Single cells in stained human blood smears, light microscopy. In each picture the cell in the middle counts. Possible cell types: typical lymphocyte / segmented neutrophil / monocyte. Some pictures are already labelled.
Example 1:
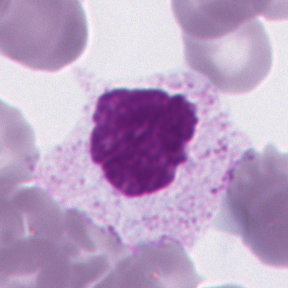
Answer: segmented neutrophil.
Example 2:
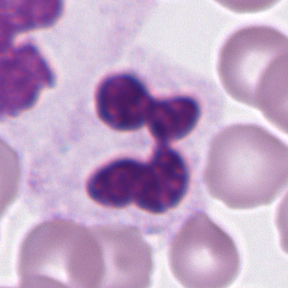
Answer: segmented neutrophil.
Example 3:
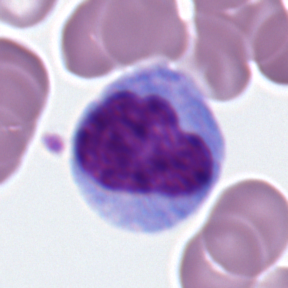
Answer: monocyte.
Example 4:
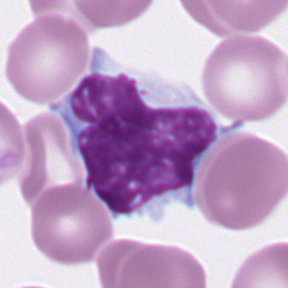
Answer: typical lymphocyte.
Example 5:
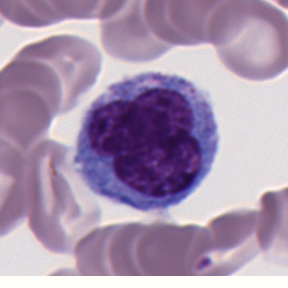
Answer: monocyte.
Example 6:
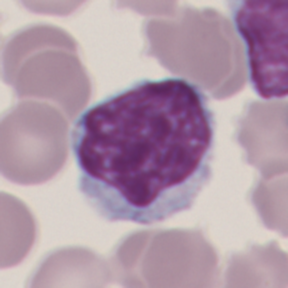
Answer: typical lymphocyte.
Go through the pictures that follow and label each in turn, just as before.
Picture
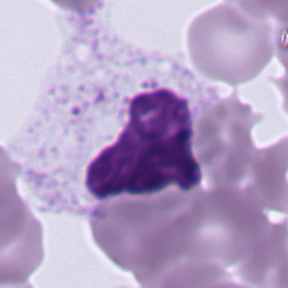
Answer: segmented neutrophil.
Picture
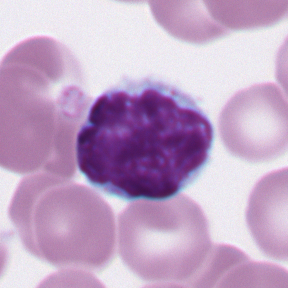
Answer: typical lymphocyte.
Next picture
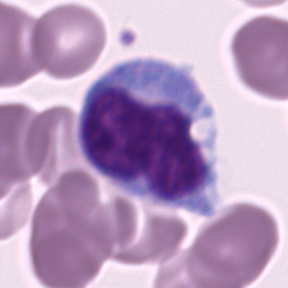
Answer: monocyte.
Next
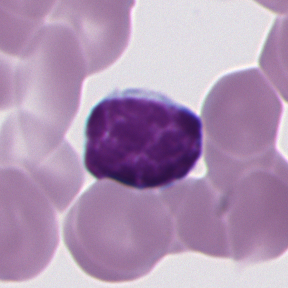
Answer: typical lymphocyte.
